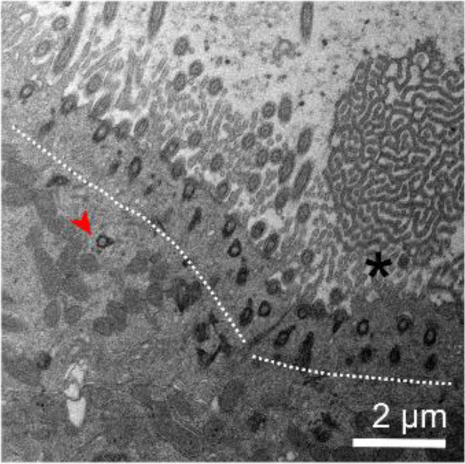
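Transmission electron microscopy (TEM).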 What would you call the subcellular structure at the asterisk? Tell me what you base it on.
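A dense mass of small tortuous finger-like profiles lies beside the cell surface. The answer: microvilli.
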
